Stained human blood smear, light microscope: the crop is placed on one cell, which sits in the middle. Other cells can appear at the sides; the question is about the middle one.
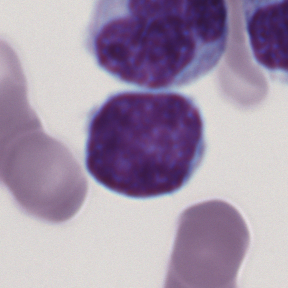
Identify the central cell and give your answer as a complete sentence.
By classification, the middle cell of this crop is a monocyte.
